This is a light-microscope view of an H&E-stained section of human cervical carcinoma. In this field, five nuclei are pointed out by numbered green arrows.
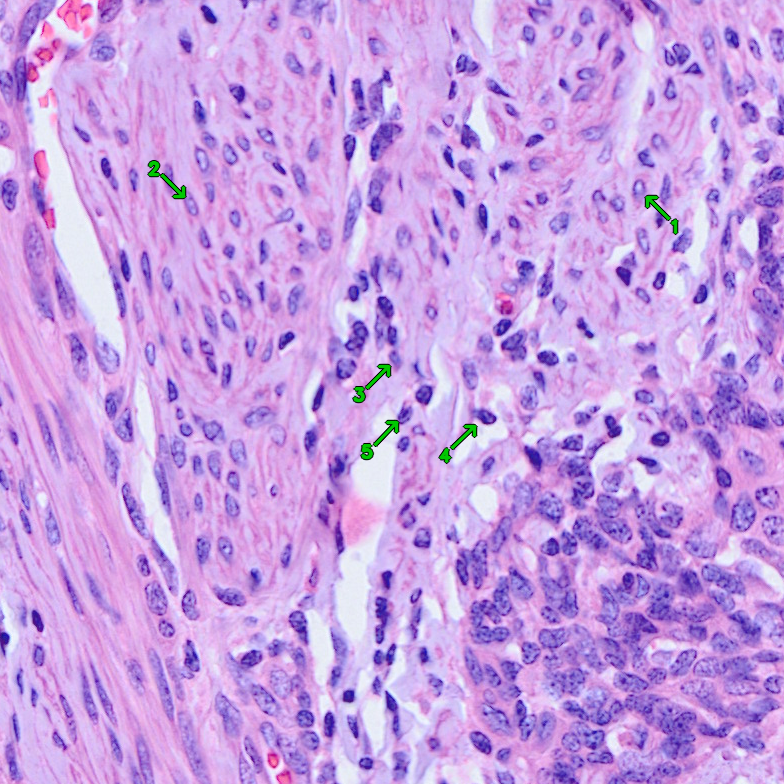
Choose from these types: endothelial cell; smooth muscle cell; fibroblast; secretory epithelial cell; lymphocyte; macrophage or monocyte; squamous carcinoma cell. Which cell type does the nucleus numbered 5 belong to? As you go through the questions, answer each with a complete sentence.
In this section, the cell numbered 5 is a lymphocyte.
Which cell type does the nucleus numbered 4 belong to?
Among the marked nuclei, number 4 belongs to a lymphocyte.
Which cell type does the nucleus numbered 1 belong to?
The cell referred to as 1 is a smooth muscle cell.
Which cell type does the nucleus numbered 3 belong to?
Number 3 is placed on a lymphocyte here.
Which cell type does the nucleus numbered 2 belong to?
The cell referenced by the number 2 is a smooth muscle cell in this field.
